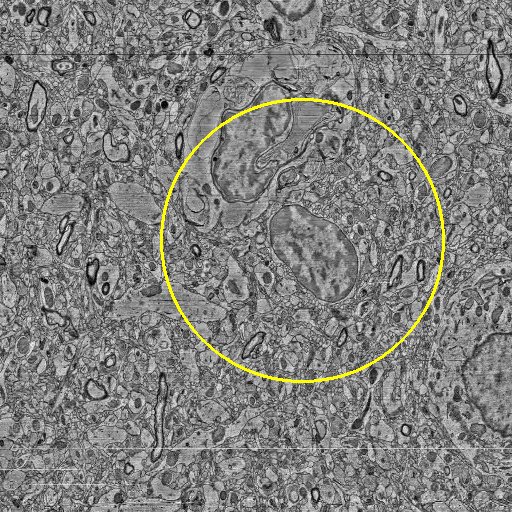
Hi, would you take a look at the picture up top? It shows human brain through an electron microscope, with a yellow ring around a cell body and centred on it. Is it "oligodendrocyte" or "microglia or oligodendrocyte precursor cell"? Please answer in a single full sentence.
The best fit for the cell in the middle of the ring is a microglial cell or oligodendrocyte precursor cell, I reckon.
